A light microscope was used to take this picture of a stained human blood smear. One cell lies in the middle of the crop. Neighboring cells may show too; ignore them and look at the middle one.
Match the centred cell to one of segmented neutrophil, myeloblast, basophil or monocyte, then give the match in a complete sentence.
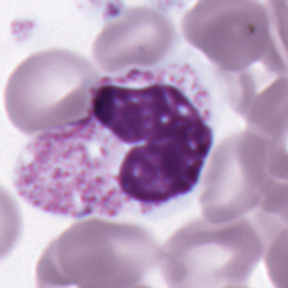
As for the central cell, it is a segmented neutrophil.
